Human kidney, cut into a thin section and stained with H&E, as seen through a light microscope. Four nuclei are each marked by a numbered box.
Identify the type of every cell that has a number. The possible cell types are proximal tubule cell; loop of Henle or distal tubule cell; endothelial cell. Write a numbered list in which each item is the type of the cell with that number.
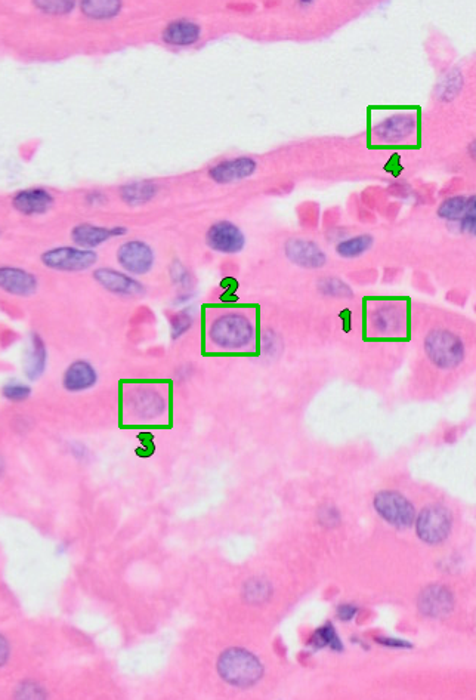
1. proximal tubule cell
2. proximal tubule cell
3. proximal tubule cell
4. loop of Henle or distal tubule cell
